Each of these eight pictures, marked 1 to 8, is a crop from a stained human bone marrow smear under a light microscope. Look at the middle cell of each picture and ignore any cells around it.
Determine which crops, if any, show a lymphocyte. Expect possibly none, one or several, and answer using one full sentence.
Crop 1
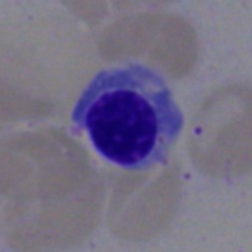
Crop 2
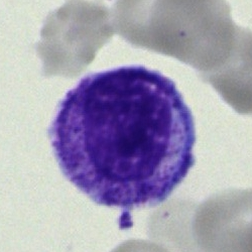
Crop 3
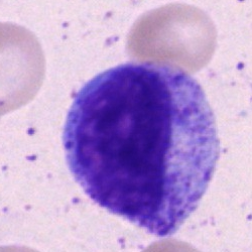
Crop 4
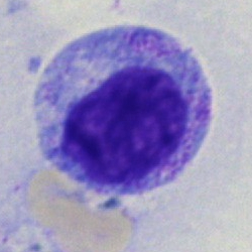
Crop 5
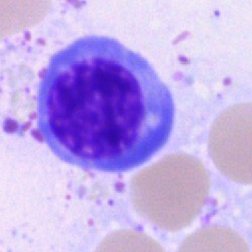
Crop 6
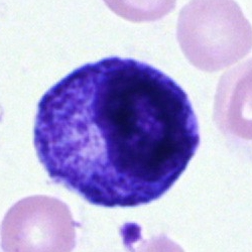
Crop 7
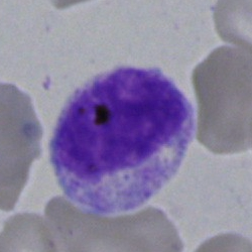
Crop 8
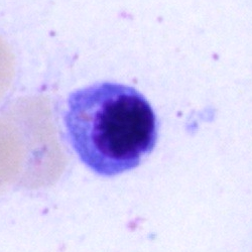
Of all the crops provided, none shows a lymphocyte.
